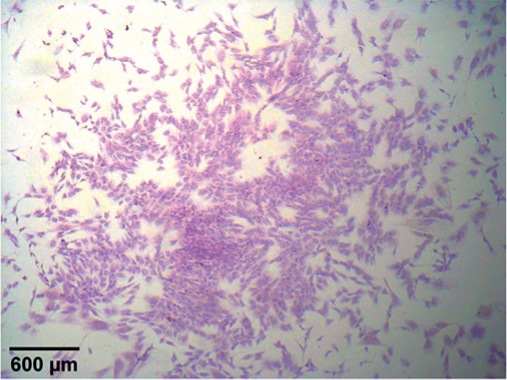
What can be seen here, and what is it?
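A denser cluster of cells lies near the centre, while toward the edges the cells are spread out singly with much empty pale background between them. The cells are spindle-shaped or irregular with short processes, and each has a darker nucleus. Open gaps lie within the colony itself, so the cells do not form a continuous sheet.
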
